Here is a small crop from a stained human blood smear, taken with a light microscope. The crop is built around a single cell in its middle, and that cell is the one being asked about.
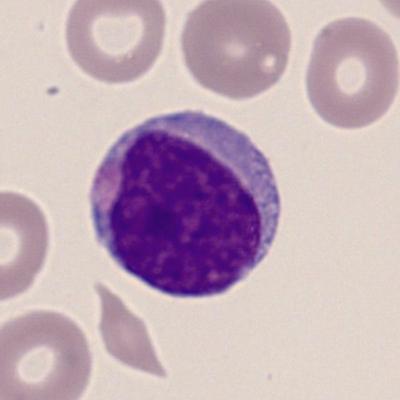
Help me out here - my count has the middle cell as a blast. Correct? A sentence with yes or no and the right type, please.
Yes, in this crop the cell in the middle is a blast.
